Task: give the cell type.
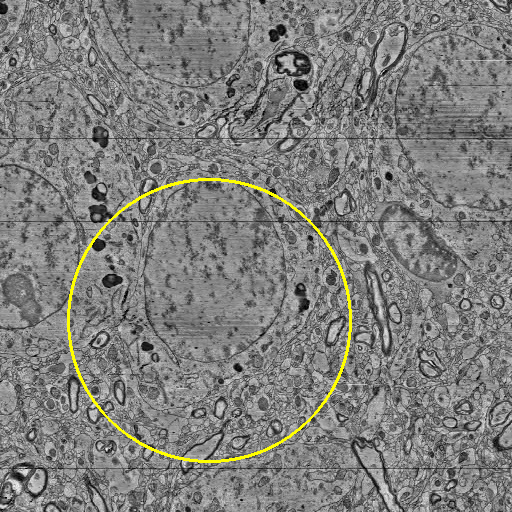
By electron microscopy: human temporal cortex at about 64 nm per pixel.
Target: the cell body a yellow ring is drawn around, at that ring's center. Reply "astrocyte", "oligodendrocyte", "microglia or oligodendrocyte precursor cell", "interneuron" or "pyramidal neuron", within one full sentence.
In this picture, the cell whose body lies at the ring's center is a pyramidal neuron.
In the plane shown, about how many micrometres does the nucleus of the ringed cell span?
Roughly 12 micrometres by 9 micrometres, in this plane.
